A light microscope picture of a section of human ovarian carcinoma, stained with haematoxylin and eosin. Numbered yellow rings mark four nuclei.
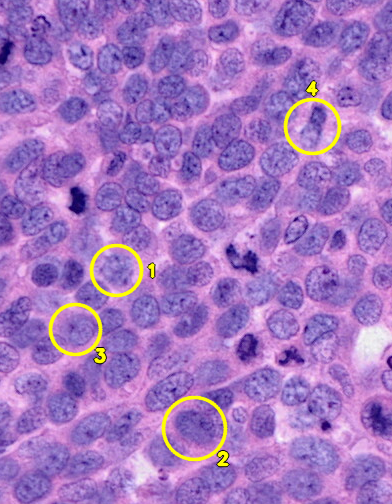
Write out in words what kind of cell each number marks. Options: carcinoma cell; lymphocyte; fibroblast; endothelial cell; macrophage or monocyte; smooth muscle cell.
Cells 1, 2 and 3 are carcinoma cells. Cell 4 is a macrophage or monocyte.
